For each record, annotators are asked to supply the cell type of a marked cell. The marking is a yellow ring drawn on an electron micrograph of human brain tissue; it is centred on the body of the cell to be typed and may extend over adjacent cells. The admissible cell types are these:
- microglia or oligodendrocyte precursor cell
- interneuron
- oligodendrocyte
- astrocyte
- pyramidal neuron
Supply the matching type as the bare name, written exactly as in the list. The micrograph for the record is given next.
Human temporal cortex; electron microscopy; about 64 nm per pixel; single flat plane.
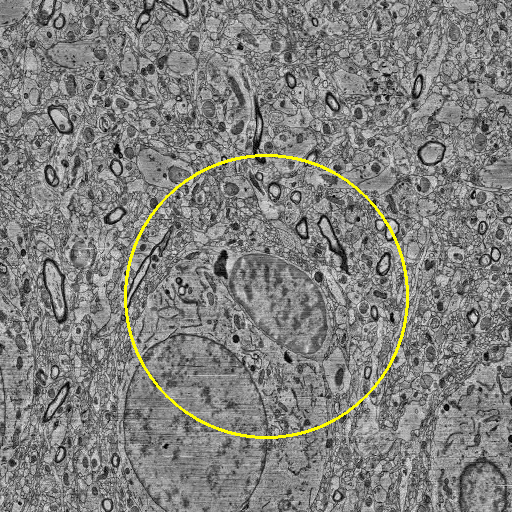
oligodendrocyte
